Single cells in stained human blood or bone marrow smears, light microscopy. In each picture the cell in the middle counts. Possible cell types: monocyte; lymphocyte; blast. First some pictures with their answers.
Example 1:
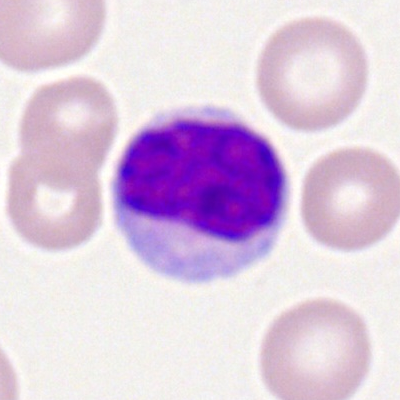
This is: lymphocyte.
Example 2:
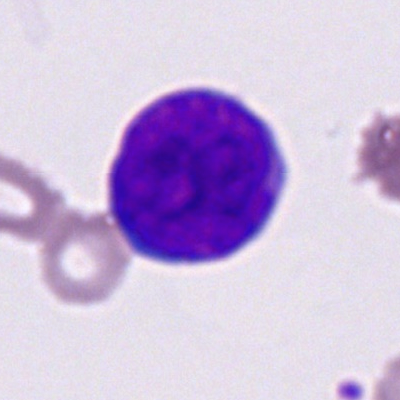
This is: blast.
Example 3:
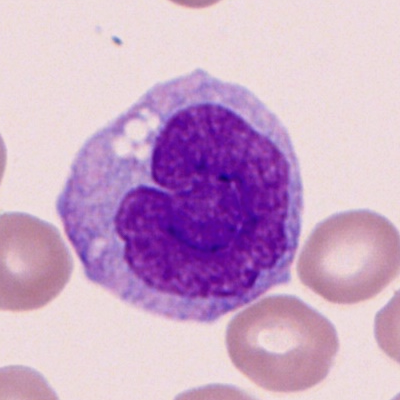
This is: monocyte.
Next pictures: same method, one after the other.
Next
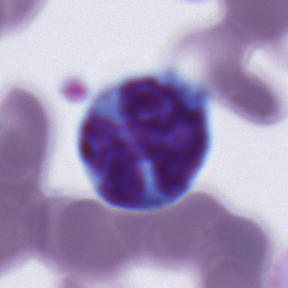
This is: monocyte.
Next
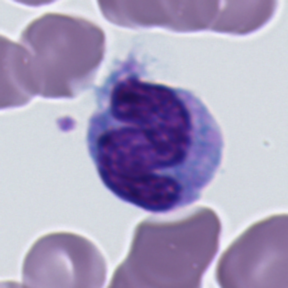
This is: monocyte.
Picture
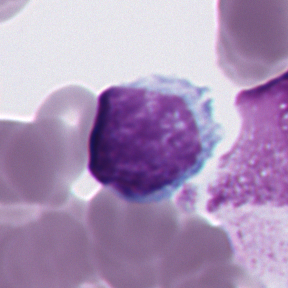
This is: lymphocyte.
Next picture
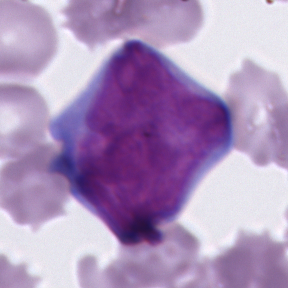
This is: blast.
